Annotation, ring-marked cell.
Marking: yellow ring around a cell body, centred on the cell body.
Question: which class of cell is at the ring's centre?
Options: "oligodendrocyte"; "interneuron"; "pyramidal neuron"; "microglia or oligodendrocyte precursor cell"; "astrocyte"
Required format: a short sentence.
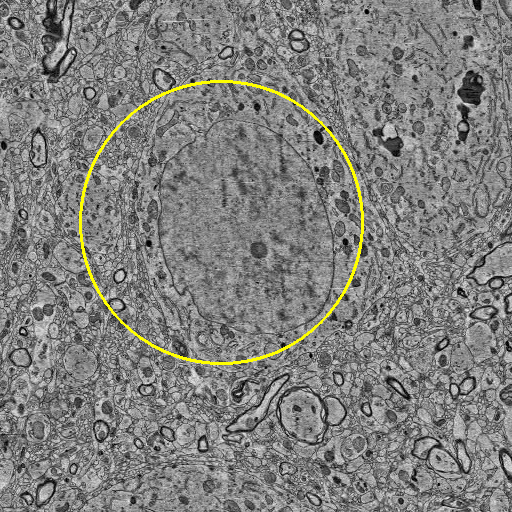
At the ring's centre is an interneuron.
